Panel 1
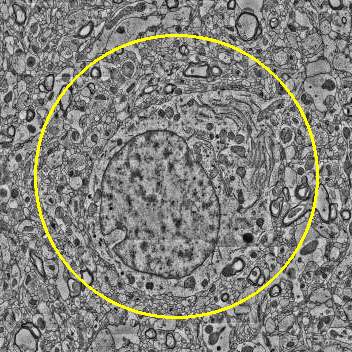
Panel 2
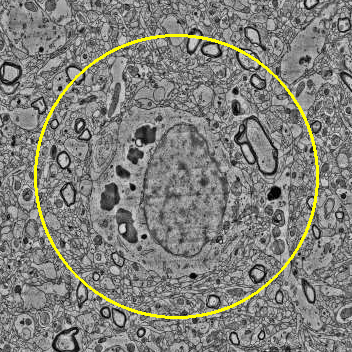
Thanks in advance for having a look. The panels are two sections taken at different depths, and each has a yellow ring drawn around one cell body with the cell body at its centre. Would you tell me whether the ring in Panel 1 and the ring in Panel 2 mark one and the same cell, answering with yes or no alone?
no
